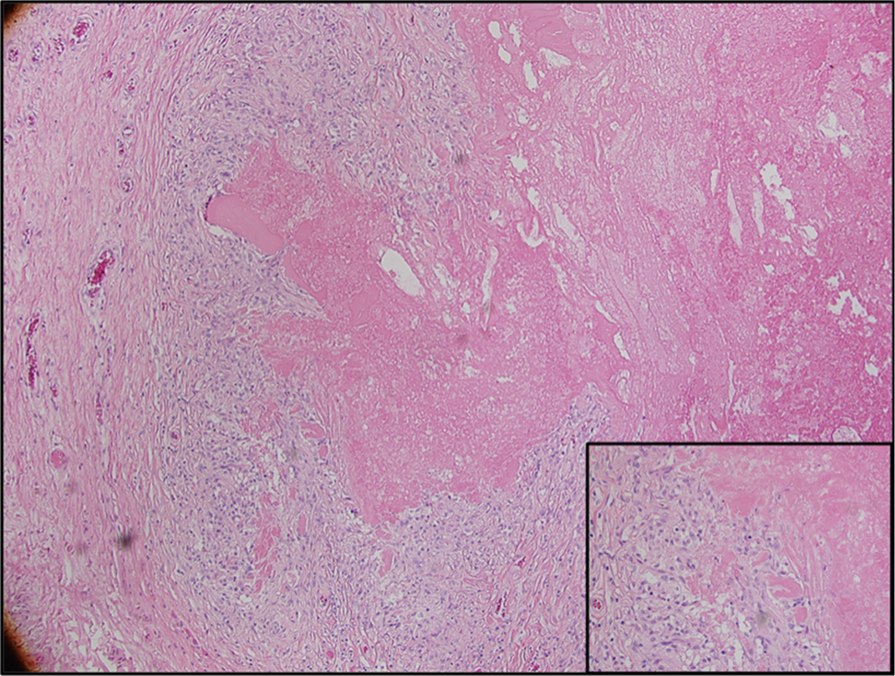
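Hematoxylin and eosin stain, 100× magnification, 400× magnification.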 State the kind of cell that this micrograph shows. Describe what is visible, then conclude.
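Cells with oval to elongated pale nuclei line up along the edge of the pink acellular zone. The inset shows these cells directly abutting the pink material. That points to this answer: palisaded histiocytes.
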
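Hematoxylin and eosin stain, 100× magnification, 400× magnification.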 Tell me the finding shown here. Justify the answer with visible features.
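Necrobiotic granuloma. A large pale pink, acellular amorphous zone occupies the upper right. It is rimmed by a band of densely packed cells with elongated nuclei. Outside that band lies fibrous tissue with small blood vessels.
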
